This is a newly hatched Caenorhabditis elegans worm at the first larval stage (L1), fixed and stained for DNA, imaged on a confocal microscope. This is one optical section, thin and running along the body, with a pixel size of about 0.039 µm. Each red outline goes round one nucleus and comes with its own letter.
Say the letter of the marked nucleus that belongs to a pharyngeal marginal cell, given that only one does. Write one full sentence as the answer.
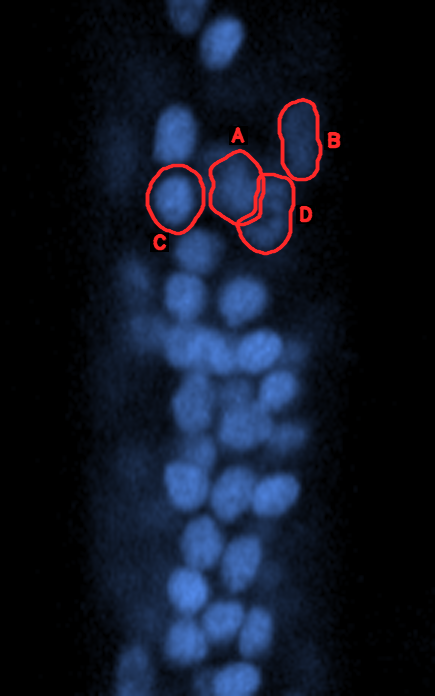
The nucleus of a pharyngeal marginal cell is A.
